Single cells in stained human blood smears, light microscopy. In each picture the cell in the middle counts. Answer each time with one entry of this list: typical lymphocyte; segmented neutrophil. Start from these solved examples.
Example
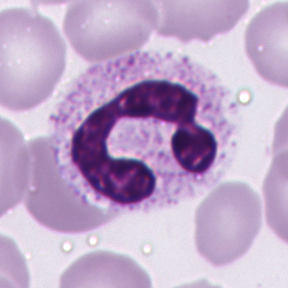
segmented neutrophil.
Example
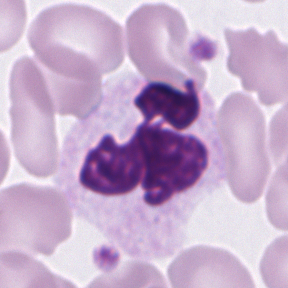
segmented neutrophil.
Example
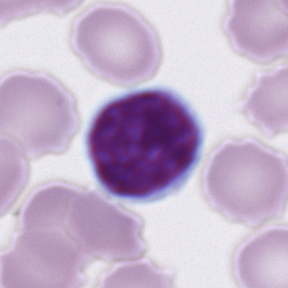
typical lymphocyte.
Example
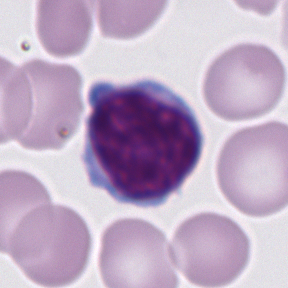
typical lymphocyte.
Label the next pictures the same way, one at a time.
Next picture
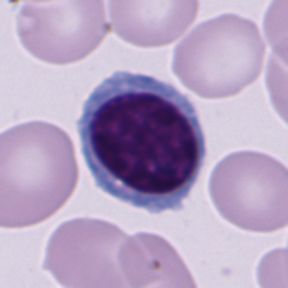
typical lymphocyte.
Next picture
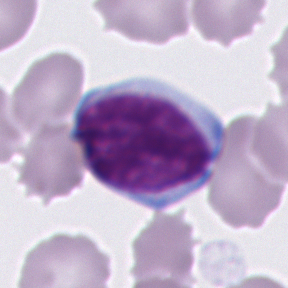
typical lymphocyte.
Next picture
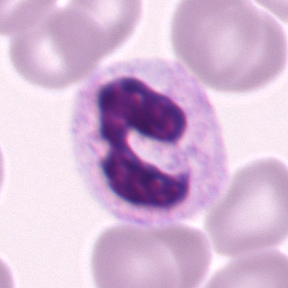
segmented neutrophil.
